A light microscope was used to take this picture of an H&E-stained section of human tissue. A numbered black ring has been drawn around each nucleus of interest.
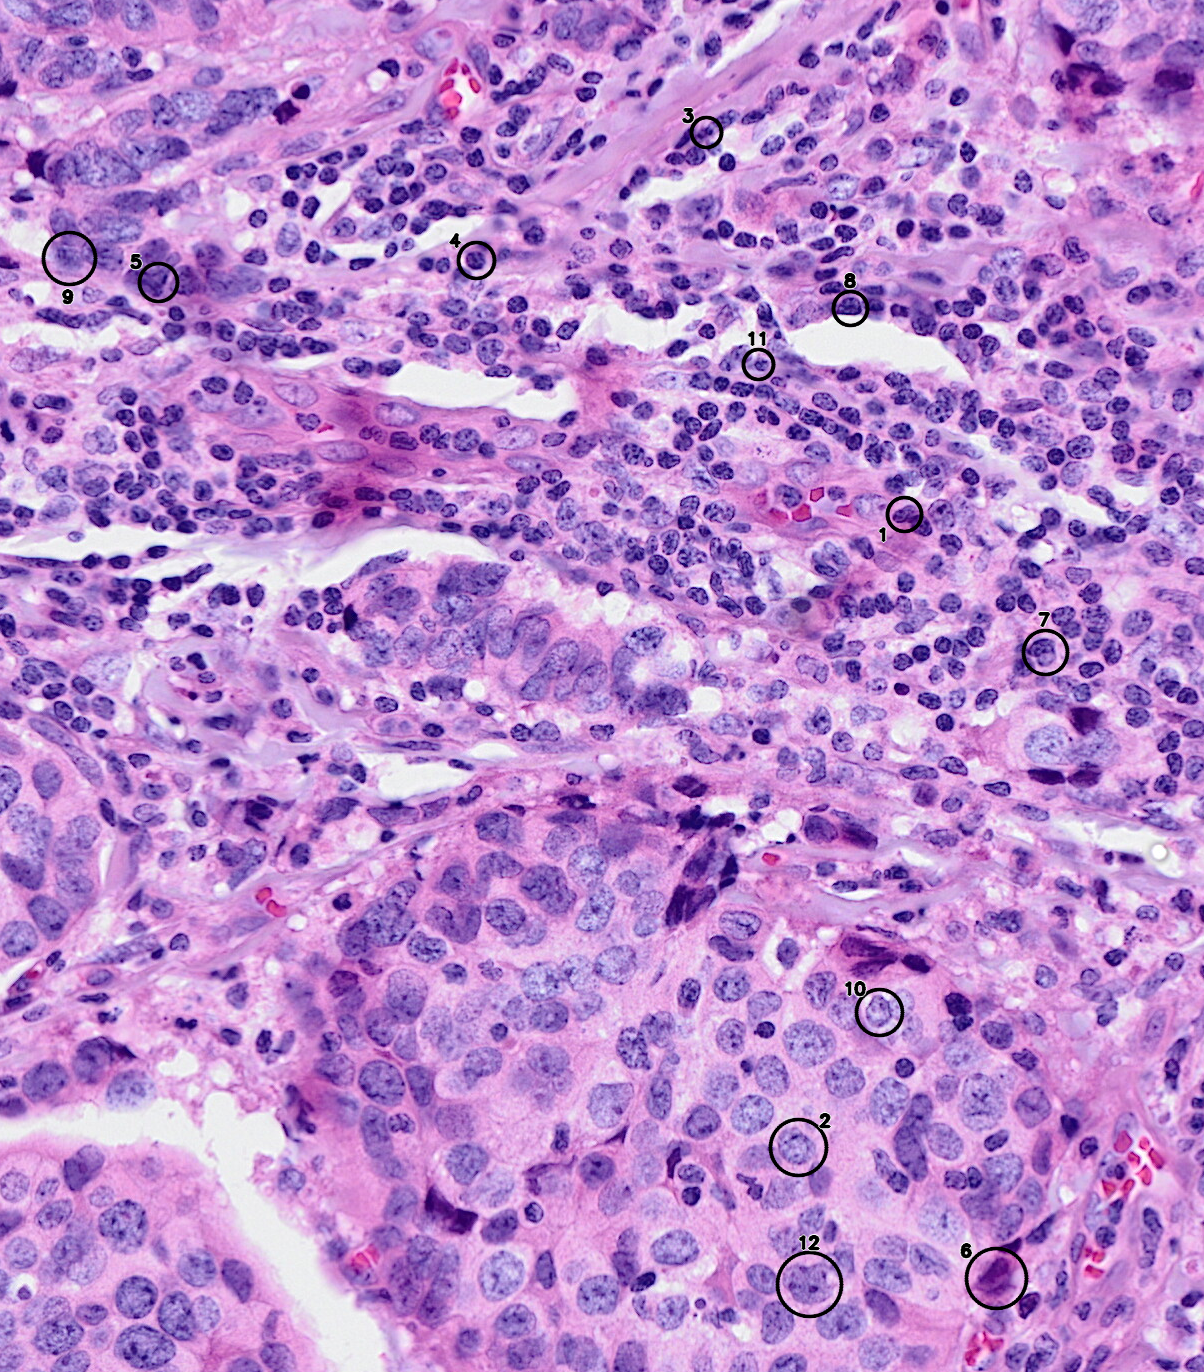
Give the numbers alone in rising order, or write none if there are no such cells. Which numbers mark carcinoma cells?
2, 5, 6, 9, 10, 12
